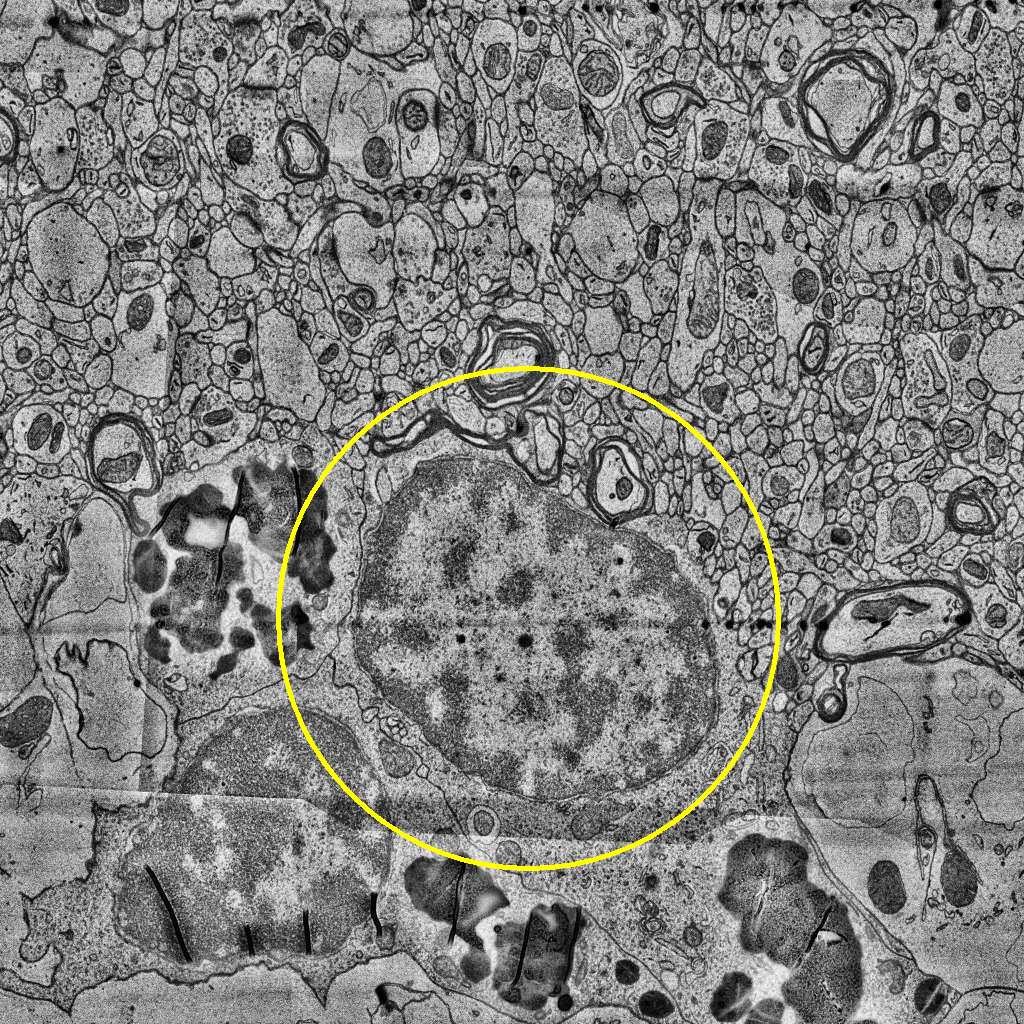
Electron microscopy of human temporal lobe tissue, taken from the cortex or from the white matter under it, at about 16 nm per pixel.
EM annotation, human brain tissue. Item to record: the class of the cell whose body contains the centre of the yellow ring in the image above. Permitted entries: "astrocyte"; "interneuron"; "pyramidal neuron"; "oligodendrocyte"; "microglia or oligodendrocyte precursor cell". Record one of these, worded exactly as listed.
oligodendrocyte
